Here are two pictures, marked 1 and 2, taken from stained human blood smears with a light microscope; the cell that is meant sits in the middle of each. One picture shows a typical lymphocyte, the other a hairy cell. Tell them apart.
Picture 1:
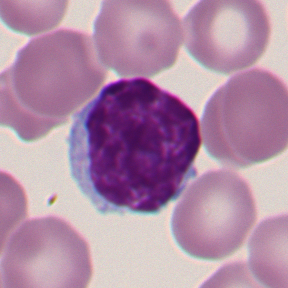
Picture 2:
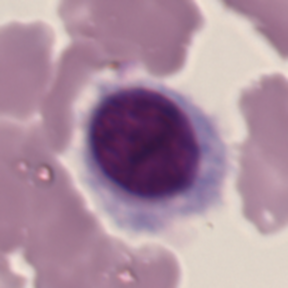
1: typical lymphocyte
2: hairy cell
